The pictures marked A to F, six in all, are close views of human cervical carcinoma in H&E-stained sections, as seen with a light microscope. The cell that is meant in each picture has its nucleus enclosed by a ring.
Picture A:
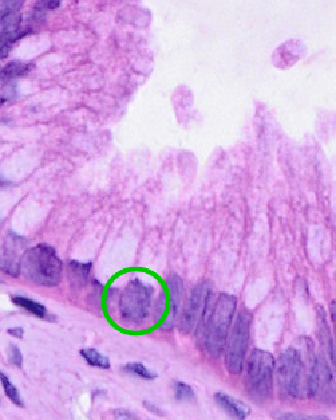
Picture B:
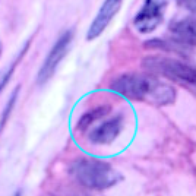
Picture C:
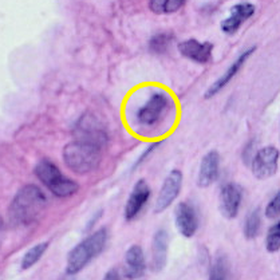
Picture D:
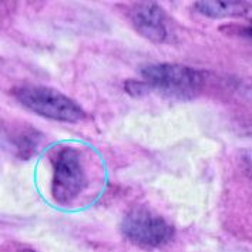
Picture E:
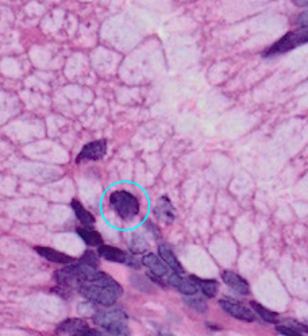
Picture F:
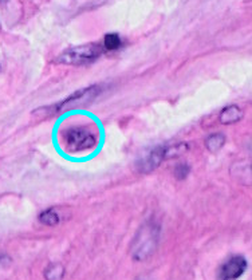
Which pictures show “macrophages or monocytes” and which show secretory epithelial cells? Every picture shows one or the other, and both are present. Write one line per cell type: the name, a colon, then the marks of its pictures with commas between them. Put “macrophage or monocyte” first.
macrophage or monocyte: D, F
secretory epithelial cell: A, B, C, E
